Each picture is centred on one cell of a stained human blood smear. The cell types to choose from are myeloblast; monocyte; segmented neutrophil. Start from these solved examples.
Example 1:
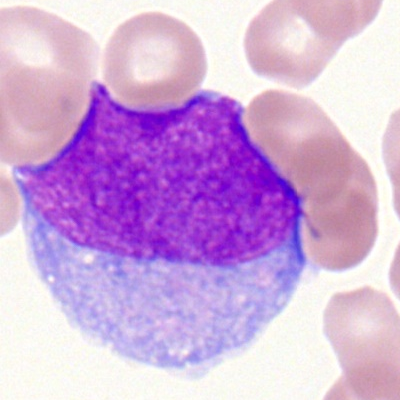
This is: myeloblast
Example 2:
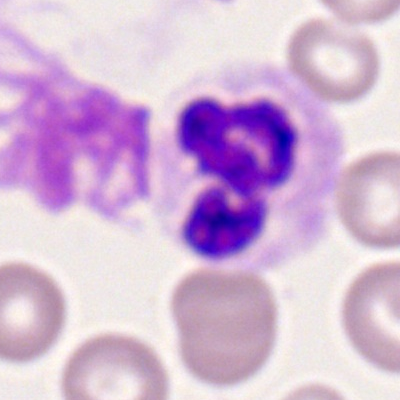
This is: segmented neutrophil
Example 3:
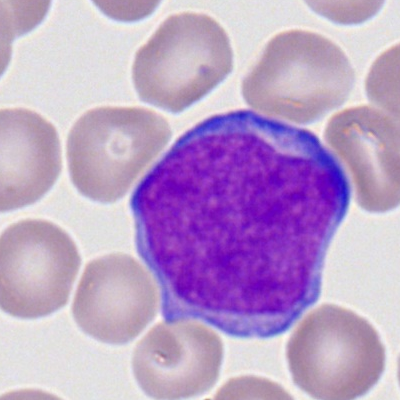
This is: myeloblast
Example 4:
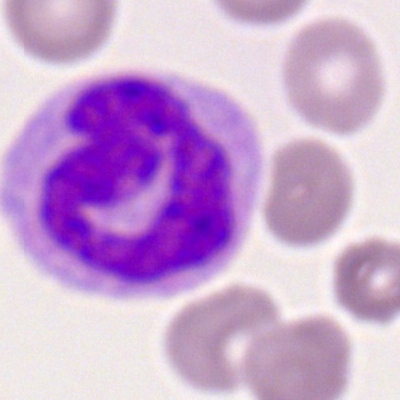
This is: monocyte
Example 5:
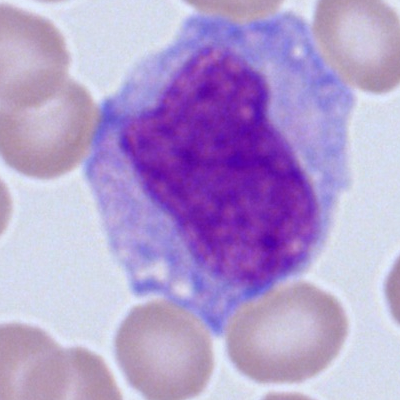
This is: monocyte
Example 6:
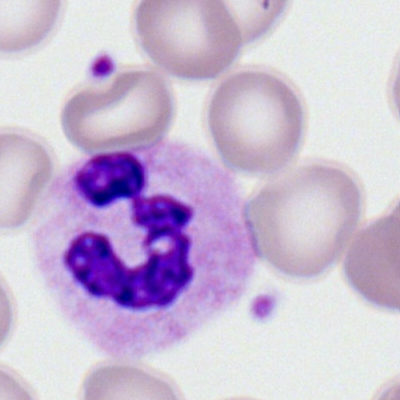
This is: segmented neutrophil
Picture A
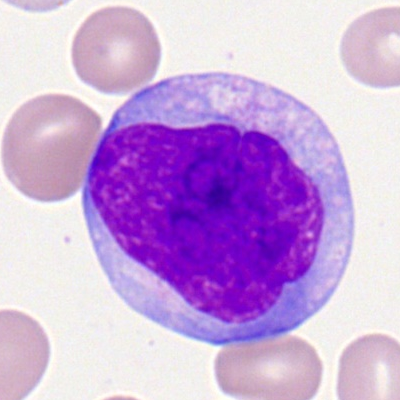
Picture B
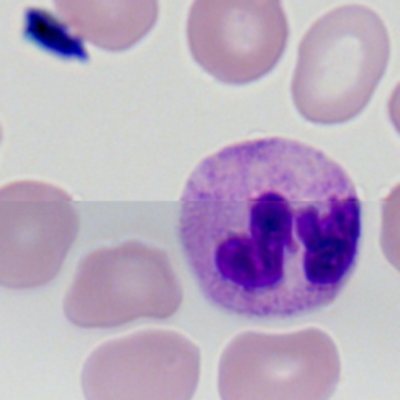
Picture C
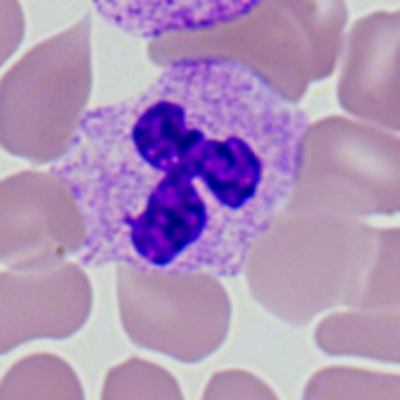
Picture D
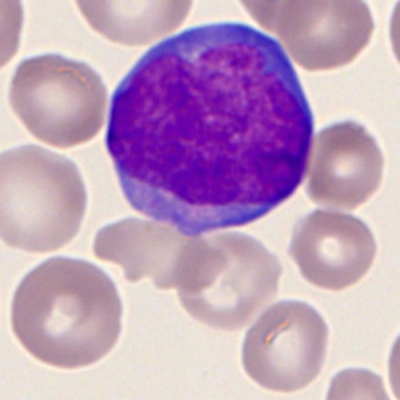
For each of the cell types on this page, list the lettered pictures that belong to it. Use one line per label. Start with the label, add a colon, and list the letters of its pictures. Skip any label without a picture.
myeloblast: A, D
segmented neutrophil: B, C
